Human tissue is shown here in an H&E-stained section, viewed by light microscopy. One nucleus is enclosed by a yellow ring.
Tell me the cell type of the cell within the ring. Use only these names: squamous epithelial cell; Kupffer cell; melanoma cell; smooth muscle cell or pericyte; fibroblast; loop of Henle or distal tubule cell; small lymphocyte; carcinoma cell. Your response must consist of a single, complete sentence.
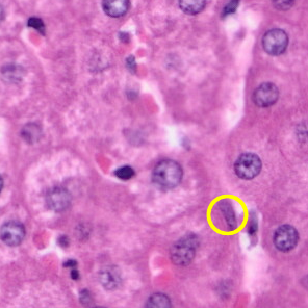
So far as cell type goes, the cell within the ring is a Kupffer cell.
